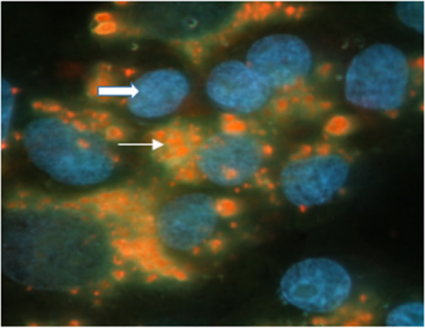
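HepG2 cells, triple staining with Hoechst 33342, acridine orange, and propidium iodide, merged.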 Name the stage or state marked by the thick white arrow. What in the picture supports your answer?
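The thick arrow points at an oval blue nucleus. The nucleus is evenly stained, without condensed or fragmented chromatin. That points to this answer: uniformly stained viable cells.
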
